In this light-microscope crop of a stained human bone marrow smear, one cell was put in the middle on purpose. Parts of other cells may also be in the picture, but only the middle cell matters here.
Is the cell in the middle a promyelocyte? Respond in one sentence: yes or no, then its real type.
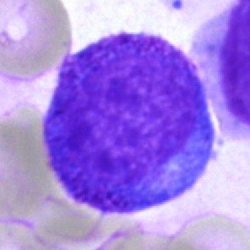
Yes, the identity of the central cell is that of a promyelocyte.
